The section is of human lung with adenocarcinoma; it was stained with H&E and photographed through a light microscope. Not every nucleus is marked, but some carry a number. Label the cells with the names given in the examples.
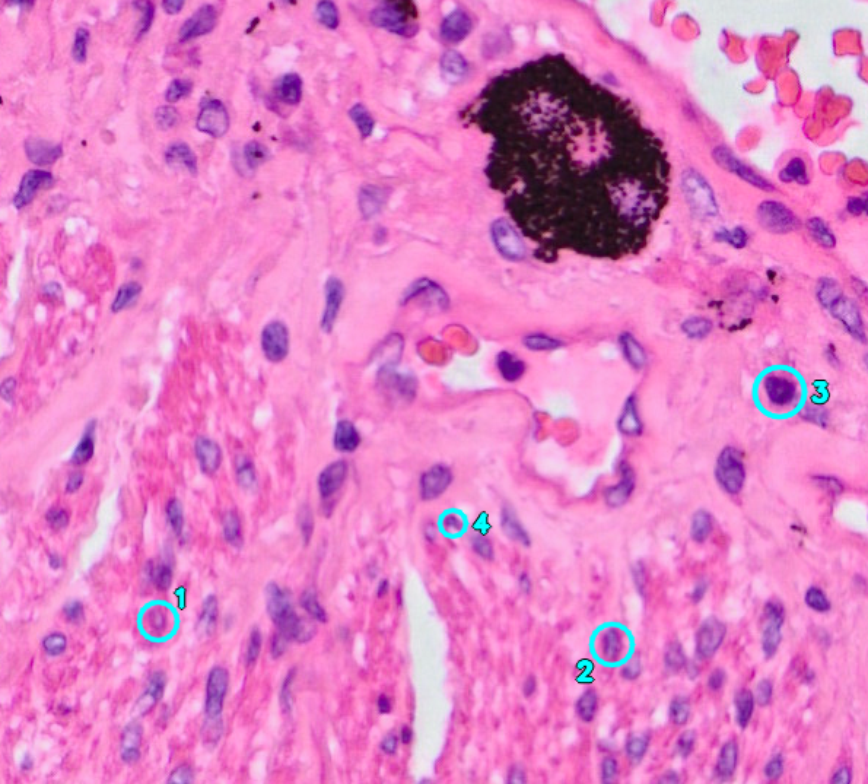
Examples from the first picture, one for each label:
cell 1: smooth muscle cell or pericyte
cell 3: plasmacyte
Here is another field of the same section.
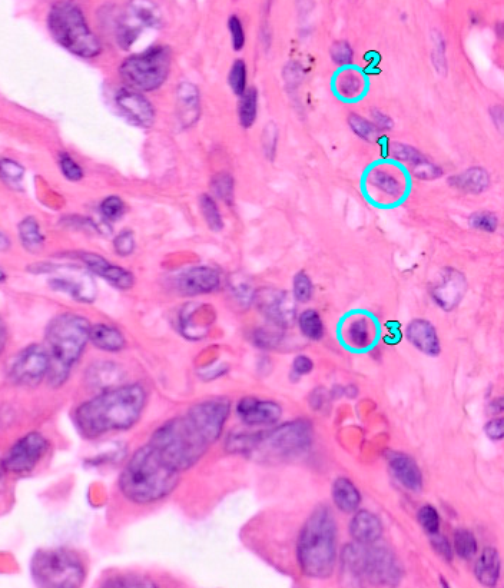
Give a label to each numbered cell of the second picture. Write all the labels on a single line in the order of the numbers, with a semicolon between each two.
smooth muscle cell or pericyte; smooth muscle cell or pericyte; plasmacyte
